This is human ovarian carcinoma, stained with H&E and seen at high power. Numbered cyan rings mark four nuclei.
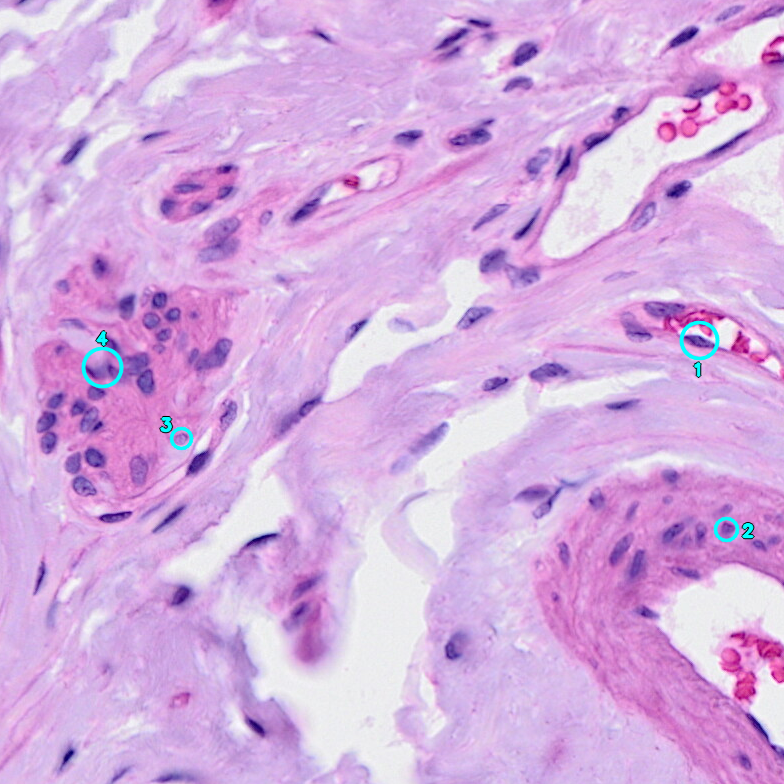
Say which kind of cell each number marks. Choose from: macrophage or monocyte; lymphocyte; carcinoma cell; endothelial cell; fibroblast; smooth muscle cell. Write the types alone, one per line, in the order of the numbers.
endothelial cell
smooth muscle cell
smooth muscle cell
smooth muscle cell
